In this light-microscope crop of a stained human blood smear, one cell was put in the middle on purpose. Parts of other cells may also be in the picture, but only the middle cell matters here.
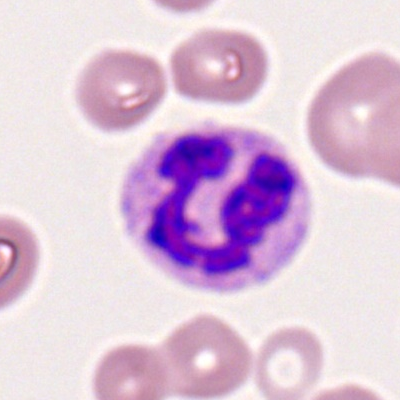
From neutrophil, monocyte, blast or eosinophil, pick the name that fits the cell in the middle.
neutrophil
